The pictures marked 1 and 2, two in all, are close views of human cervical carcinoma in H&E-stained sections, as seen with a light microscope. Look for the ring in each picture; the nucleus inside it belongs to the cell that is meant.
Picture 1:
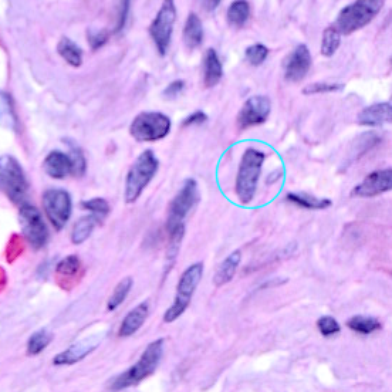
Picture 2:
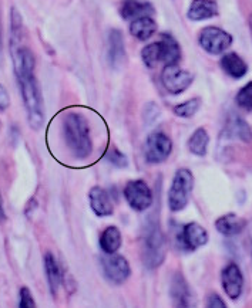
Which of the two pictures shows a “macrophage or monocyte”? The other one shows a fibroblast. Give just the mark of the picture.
2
